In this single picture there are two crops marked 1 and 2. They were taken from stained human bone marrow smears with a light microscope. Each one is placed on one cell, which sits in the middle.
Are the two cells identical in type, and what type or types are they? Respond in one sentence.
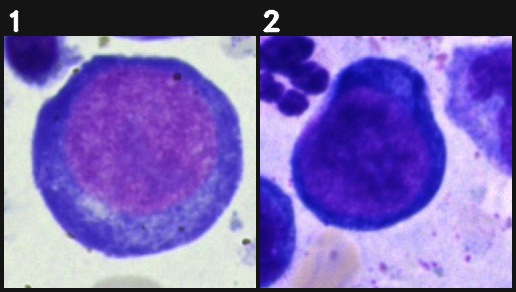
Yes, for both crops, the central cells are proerythroblasts.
